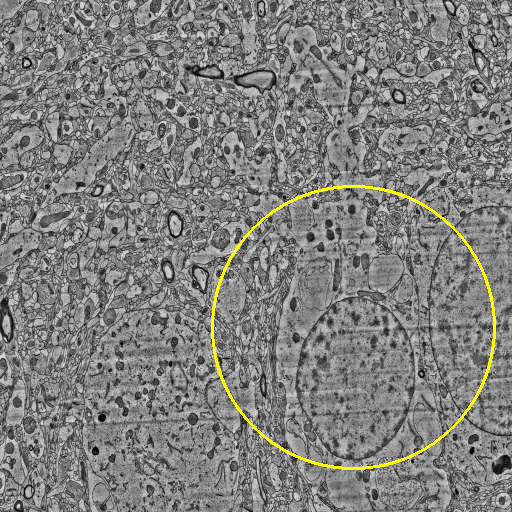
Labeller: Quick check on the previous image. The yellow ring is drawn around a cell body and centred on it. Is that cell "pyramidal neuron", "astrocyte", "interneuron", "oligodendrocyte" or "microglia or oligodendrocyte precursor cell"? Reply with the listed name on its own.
astrocyte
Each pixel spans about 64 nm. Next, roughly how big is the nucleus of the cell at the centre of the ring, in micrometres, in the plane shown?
In this plane, the nucleus is roughly 10 by 7 micrometres.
